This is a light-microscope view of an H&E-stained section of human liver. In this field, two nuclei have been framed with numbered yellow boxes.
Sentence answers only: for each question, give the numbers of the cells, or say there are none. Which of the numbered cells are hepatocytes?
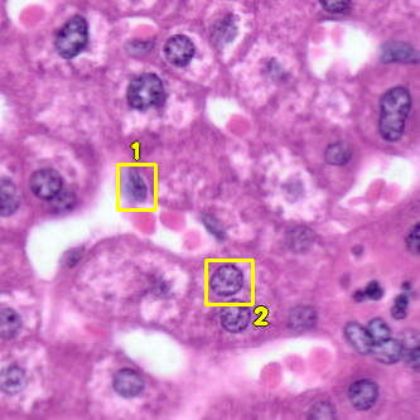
In this set of numbered cells, only cell 2 is a hepatocyte.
